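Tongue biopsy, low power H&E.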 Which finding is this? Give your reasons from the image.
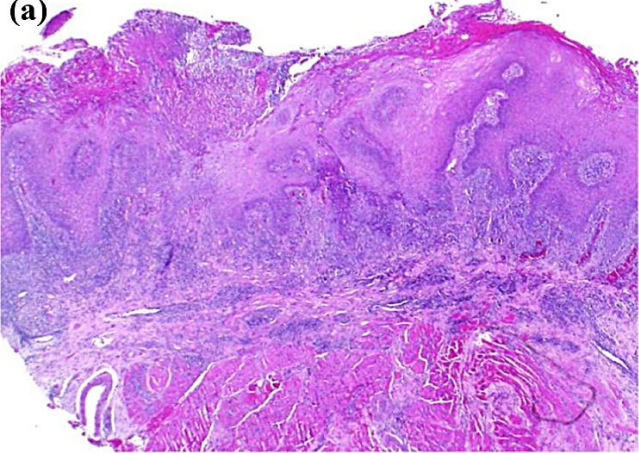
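The squamous epithelium is thickened with long rete ridges. The stroma beneath is densely infiltrated by small dark cells.
Conclusion: ulceration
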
